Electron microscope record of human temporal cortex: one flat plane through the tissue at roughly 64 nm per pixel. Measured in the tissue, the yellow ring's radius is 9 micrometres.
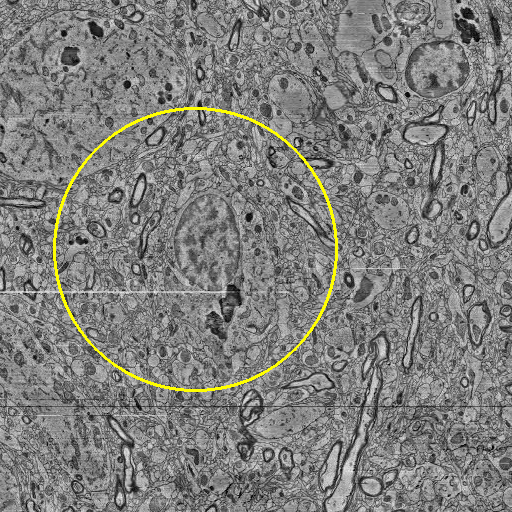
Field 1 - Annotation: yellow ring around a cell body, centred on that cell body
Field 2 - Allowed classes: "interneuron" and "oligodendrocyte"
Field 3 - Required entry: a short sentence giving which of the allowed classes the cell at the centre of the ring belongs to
The centred cell is an oligodendrocyte.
